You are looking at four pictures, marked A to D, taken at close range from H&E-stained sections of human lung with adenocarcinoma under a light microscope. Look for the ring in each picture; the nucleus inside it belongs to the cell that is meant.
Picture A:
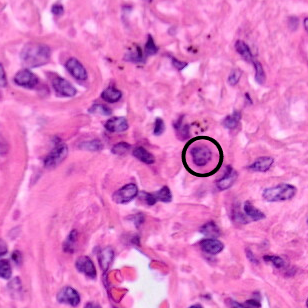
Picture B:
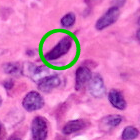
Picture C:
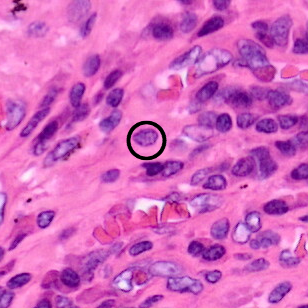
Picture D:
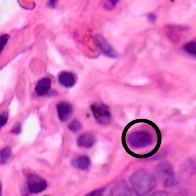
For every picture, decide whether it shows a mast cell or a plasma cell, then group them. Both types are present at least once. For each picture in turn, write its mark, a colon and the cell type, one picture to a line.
A: plasma cell
B: plasma cell
C: mast cell
D: plasma cell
